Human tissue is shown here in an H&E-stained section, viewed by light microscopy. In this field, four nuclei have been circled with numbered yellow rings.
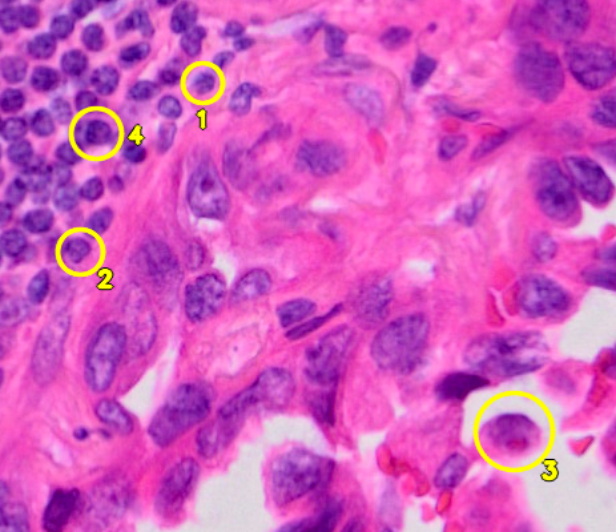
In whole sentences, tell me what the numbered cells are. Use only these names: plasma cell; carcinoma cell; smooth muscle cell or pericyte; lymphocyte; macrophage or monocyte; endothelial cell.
Cells 1, 2 and 4 are lymphocytes. Cell 3 is a carcinoma cell.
